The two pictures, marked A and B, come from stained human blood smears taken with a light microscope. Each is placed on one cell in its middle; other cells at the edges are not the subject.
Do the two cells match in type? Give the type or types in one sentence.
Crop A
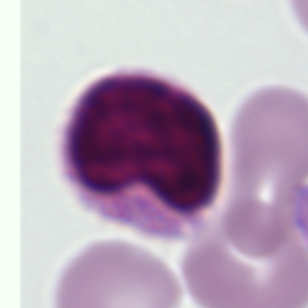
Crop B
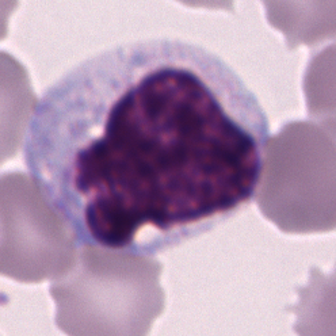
No, crop A shows a large granular lymphocyte, and it is crop B that shows a monocyte.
